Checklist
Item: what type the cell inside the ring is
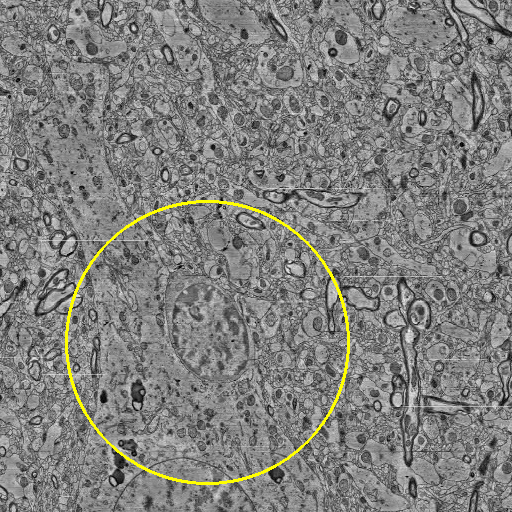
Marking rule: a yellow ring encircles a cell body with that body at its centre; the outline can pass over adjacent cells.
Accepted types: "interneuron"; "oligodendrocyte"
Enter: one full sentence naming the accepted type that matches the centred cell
The entry is that an oligodendrocyte lies at the centre of the yellow ring.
